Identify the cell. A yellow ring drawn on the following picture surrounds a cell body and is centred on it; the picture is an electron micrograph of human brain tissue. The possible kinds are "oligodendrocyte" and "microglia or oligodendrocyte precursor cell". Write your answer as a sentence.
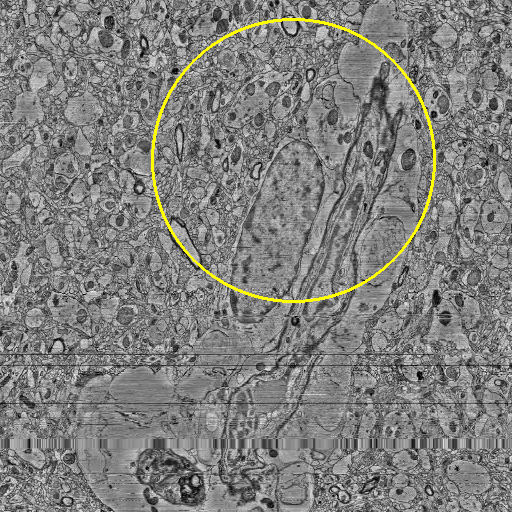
The cell identified by the ring is a microglial cell or oligodendrocyte precursor cell.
